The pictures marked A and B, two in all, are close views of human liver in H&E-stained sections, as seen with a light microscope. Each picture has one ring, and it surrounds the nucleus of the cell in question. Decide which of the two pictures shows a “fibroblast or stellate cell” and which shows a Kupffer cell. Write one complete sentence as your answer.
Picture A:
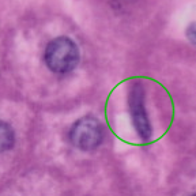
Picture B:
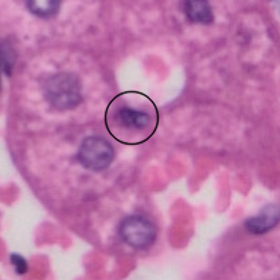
Picture A is of a Kupffer cell, and picture B is of a “fibroblast or stellate cell”.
